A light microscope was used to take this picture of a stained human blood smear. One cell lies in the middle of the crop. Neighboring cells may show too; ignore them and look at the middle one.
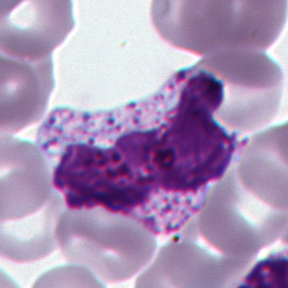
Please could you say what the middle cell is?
basophil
